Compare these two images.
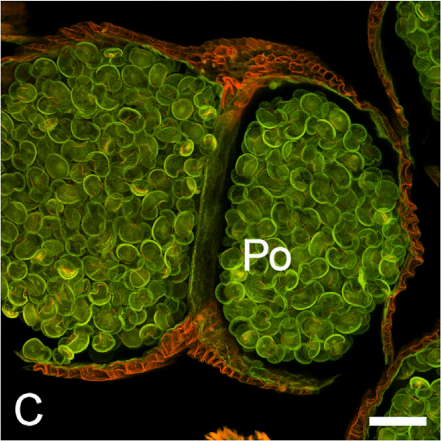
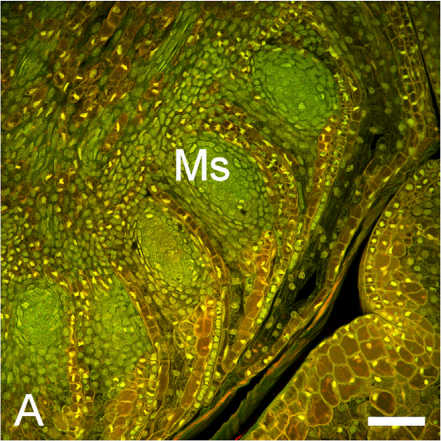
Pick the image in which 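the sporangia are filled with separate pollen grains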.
The first image.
